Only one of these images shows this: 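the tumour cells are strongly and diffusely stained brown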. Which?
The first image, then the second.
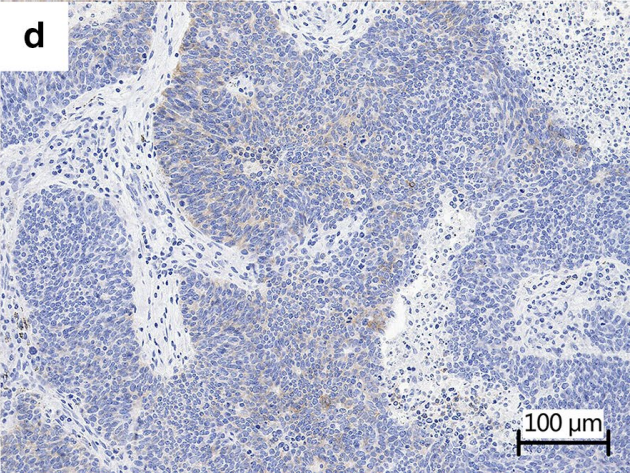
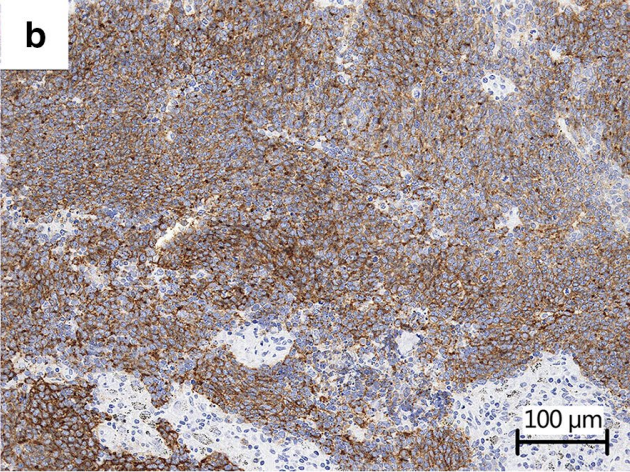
The second image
